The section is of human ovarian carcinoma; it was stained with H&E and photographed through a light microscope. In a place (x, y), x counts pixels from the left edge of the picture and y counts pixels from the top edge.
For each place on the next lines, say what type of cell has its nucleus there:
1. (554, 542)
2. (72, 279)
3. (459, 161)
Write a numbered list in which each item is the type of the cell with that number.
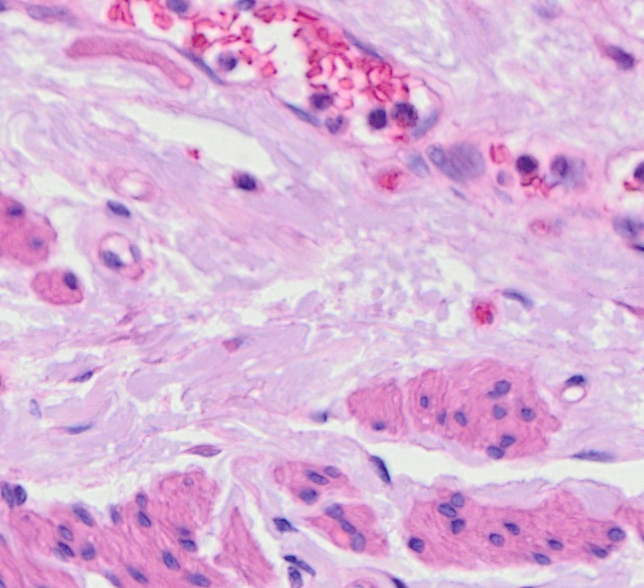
1. smooth muscle cell
2. smooth muscle cell
3. endothelial cell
